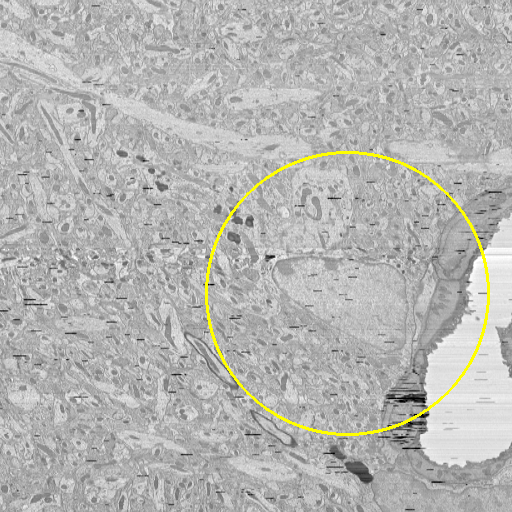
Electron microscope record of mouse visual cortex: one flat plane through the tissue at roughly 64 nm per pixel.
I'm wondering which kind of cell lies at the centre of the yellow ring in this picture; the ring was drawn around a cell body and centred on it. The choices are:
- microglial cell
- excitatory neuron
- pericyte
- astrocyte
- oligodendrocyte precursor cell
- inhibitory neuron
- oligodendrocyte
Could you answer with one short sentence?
At the centre of the ring lies an astrocyte.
